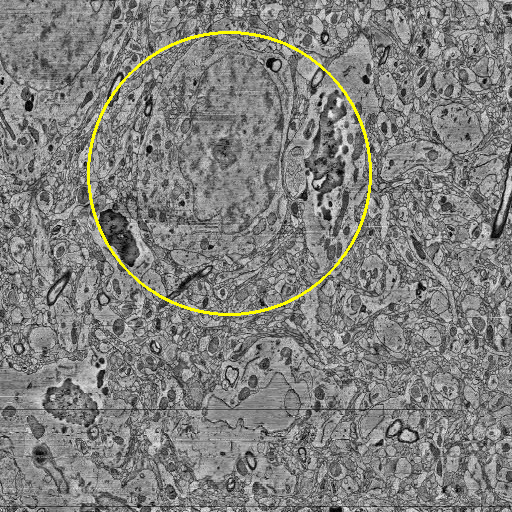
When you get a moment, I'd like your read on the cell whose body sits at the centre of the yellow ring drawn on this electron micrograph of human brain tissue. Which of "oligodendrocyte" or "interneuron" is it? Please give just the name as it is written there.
interneuron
